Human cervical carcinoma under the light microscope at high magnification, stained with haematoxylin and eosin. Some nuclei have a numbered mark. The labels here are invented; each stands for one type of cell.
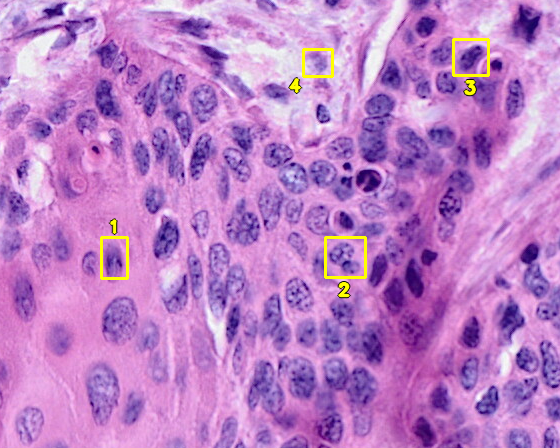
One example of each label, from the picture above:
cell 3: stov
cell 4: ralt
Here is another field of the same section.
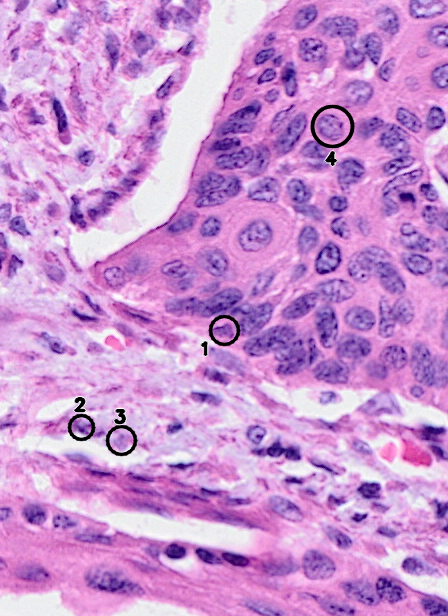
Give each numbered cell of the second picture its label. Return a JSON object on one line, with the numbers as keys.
{"1": "stov", "2": "ralt", "3": "ralt", "4": "stov"}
